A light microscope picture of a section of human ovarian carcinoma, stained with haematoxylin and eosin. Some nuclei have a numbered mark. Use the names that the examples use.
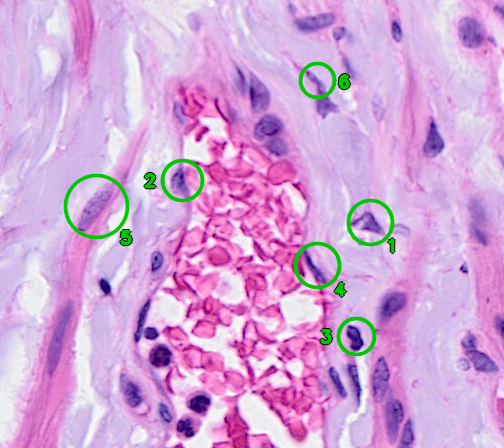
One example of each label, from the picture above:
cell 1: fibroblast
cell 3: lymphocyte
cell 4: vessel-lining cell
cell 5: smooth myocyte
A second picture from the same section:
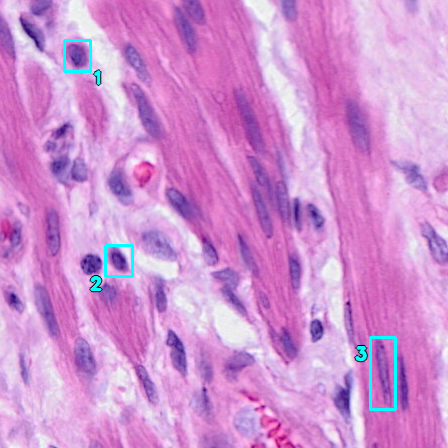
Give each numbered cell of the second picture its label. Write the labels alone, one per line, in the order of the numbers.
smooth myocyte
lymphocyte
smooth myocyte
